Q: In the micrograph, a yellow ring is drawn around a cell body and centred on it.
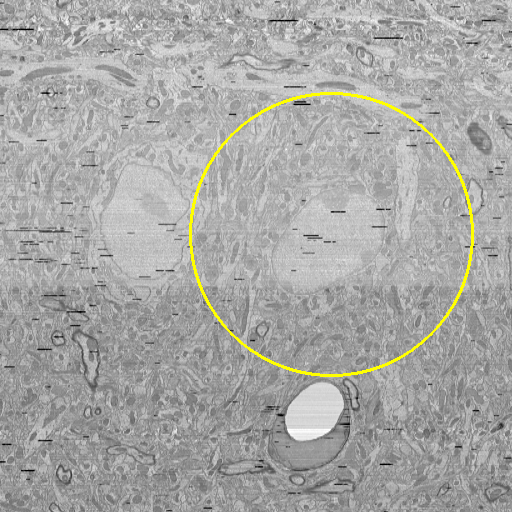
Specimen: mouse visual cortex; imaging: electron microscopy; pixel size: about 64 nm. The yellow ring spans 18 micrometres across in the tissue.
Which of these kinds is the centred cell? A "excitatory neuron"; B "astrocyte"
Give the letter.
B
